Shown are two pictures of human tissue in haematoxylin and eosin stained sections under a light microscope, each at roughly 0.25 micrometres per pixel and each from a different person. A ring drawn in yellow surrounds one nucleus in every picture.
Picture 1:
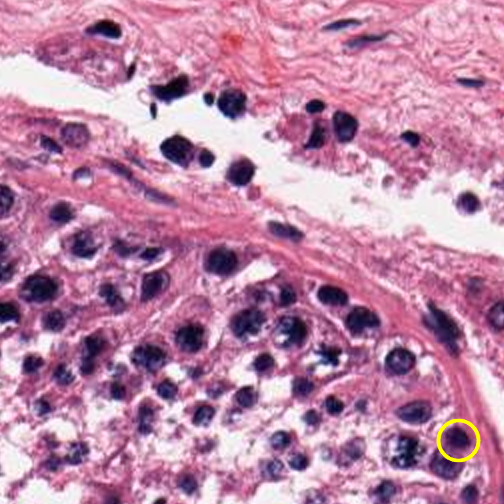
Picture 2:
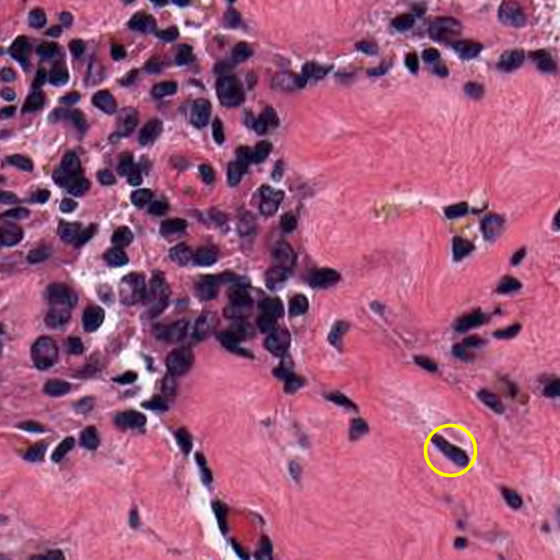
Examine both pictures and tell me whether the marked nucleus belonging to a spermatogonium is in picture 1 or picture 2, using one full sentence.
The marked nucleus in picture 1 belongs to a spermatogonium.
